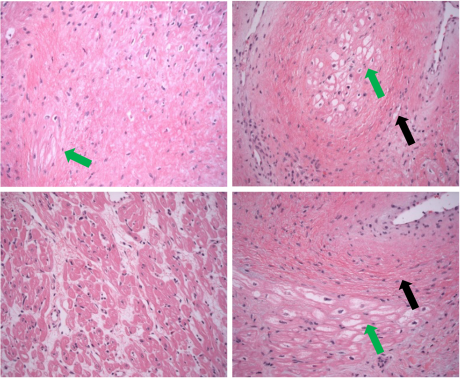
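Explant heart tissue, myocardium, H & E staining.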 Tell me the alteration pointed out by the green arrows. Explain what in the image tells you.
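The green arrows point to pale, cleared areas inside the muscle tissue. In these areas the cells look empty and vacuolated, with little pink cytoplasm left. That points to this answer: myocytolysis.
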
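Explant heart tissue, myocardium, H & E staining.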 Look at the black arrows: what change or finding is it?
fibrotic regions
